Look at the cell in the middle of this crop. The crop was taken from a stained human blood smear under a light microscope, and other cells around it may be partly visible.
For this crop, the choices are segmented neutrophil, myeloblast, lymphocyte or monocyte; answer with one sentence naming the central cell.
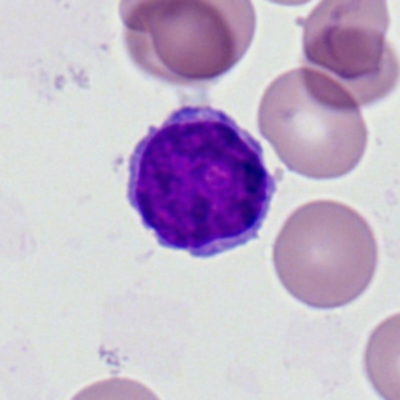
The center cell of this crop is a lymphocyte.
